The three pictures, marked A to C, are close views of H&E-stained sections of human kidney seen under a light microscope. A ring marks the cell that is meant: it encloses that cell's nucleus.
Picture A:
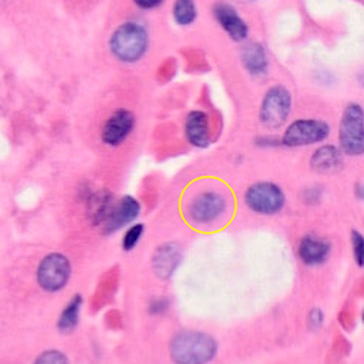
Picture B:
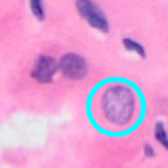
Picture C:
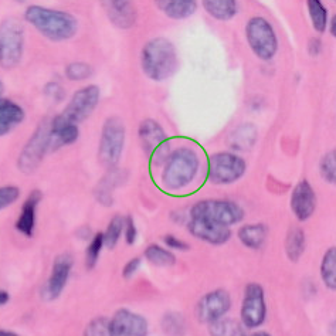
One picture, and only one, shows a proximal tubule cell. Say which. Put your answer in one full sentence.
Picture B is the one that shows the proximal tubule cell.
